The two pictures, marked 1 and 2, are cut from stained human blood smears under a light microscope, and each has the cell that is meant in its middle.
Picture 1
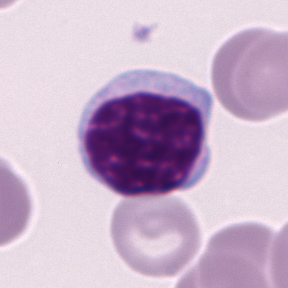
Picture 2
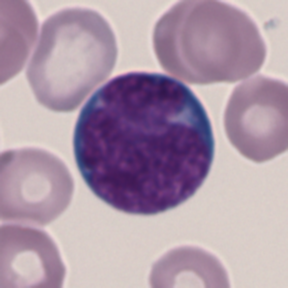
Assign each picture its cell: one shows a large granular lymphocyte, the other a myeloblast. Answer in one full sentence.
It is picture 1 that shows a large granular lymphocyte, and picture 2 that shows a myeloblast.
